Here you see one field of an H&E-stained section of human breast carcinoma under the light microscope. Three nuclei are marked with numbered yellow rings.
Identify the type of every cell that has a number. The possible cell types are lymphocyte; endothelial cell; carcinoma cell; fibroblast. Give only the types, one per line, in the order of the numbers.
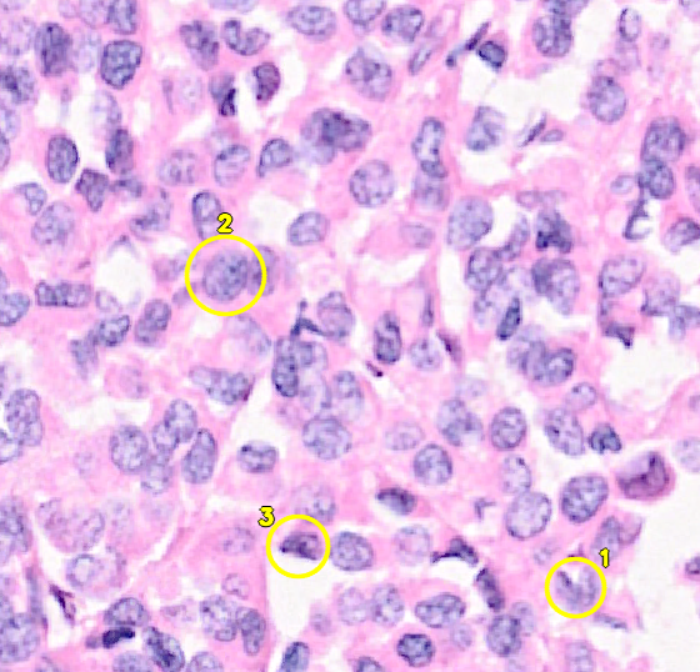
endothelial cell
carcinoma cell
carcinoma cell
